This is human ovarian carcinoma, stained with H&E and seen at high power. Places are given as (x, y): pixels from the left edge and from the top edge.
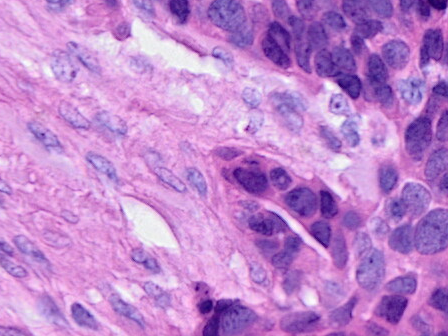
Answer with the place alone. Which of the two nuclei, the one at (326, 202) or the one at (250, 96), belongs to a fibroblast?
(250, 96)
